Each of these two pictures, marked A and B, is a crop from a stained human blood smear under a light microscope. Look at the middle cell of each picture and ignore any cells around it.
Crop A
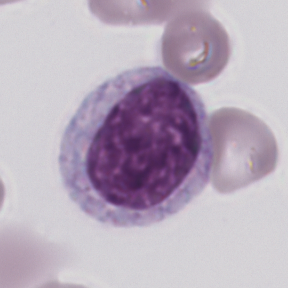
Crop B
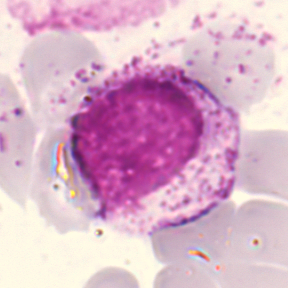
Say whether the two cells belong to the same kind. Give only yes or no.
yes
